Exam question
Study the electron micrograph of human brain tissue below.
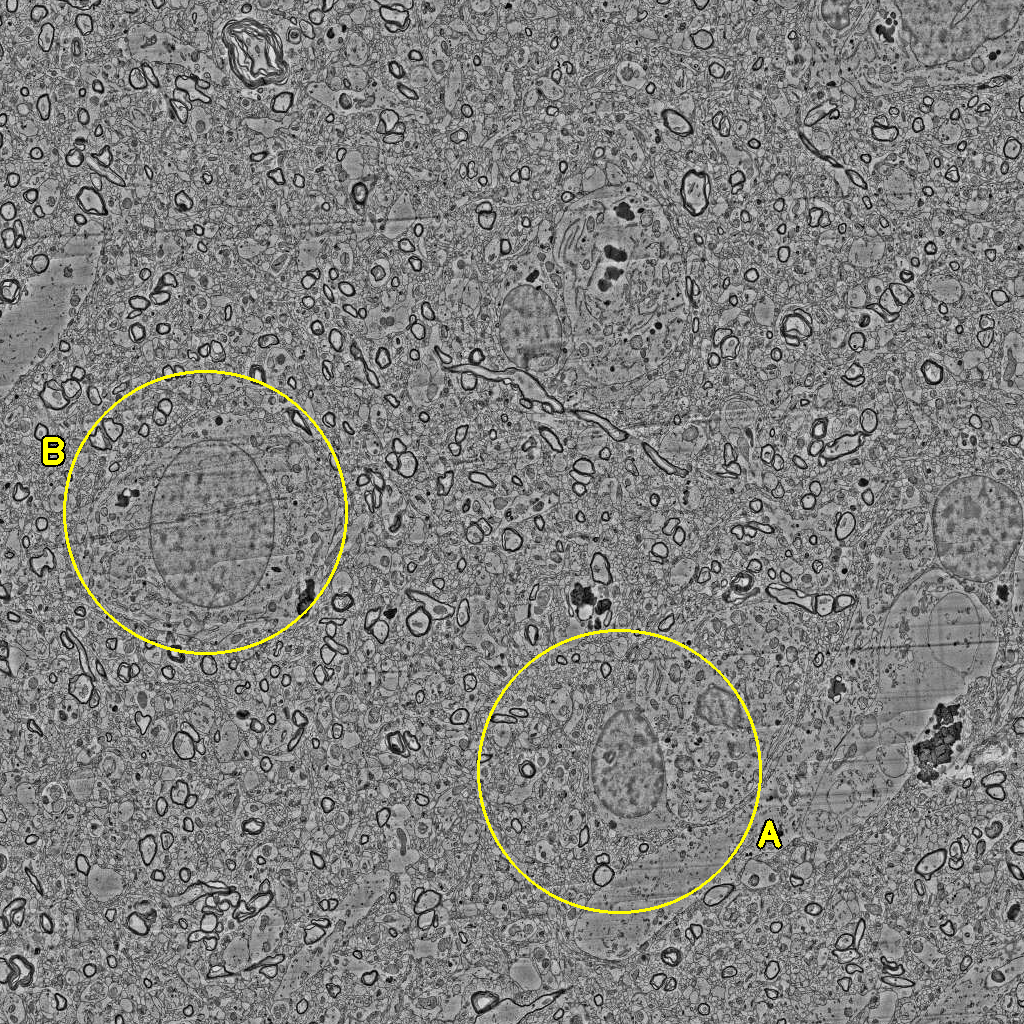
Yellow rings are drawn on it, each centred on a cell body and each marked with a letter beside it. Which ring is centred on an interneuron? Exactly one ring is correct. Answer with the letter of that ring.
B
